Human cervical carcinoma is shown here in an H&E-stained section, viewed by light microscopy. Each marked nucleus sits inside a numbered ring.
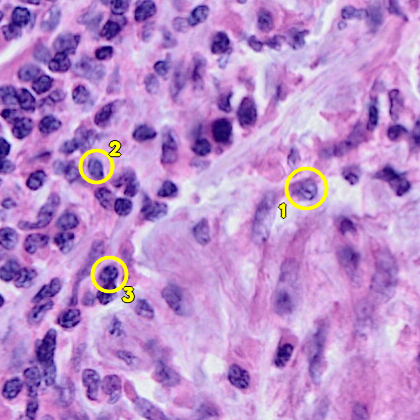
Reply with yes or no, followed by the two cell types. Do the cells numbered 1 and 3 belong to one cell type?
No, cell 1 is a macrophage or monocyte and cell 3 is a lymphocyte.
